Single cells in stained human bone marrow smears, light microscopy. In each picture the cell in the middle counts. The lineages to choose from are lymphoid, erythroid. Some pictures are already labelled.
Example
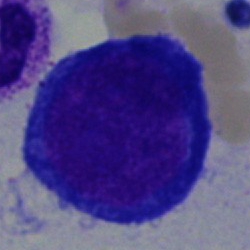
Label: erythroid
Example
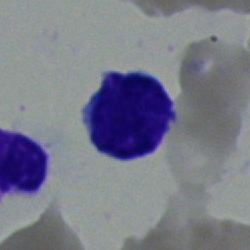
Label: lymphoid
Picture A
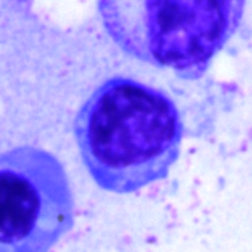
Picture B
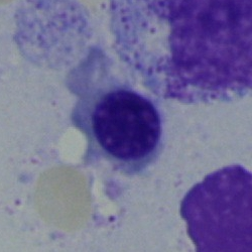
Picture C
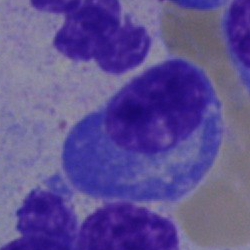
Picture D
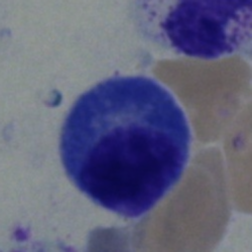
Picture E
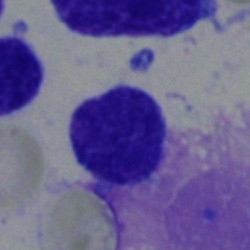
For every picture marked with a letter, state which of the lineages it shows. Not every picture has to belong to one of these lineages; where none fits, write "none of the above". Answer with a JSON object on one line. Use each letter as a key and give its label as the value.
{"A": "lymphoid", "B": "erythroid", "C": "lymphoid", "D": "lymphoid", "E": "lymphoid"}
